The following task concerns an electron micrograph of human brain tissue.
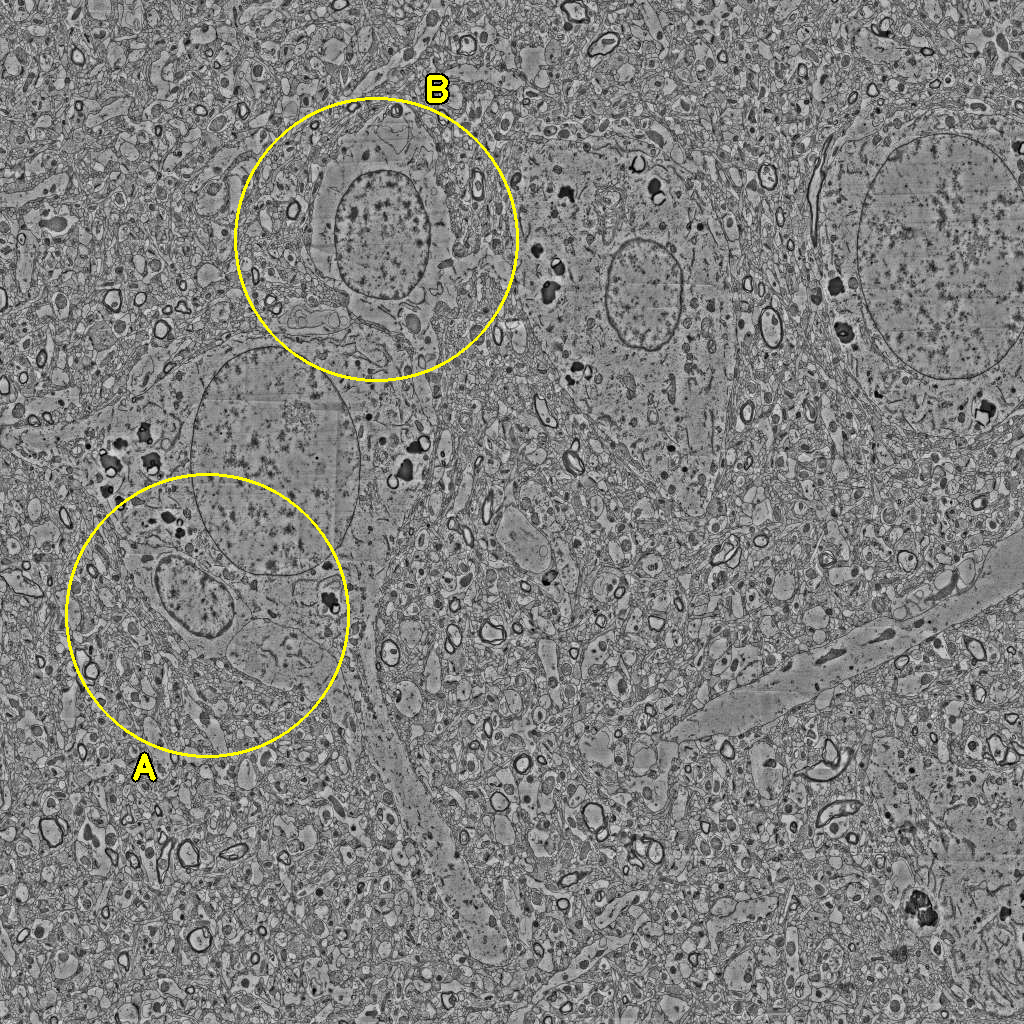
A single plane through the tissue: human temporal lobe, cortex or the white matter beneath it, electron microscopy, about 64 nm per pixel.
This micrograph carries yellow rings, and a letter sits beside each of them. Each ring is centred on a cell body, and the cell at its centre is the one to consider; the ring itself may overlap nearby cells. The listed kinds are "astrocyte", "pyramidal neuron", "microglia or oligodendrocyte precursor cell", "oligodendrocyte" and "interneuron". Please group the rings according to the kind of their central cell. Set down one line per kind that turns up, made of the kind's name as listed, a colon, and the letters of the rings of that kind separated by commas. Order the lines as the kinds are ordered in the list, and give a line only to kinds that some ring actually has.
astrocyte: B
microglia or oligodendrocyte precursor cell: A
